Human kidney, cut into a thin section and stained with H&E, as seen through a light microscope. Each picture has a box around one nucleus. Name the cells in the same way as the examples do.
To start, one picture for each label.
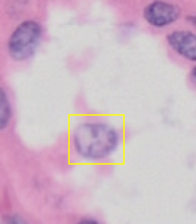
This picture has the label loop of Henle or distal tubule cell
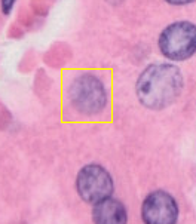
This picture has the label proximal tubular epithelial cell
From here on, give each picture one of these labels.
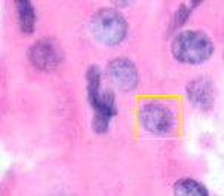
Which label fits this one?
loop of Henle or distal tubule cell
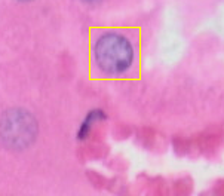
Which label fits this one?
proximal tubular epithelial cell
